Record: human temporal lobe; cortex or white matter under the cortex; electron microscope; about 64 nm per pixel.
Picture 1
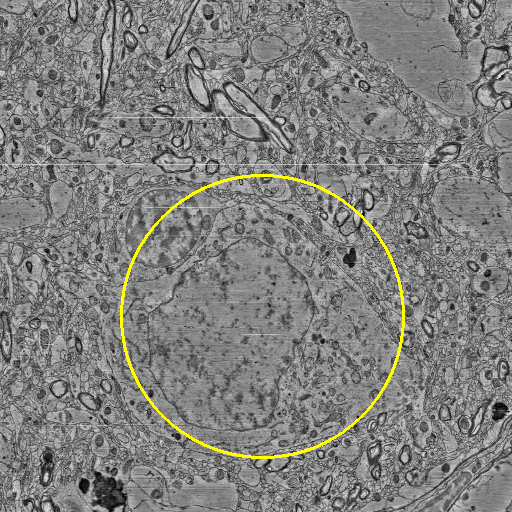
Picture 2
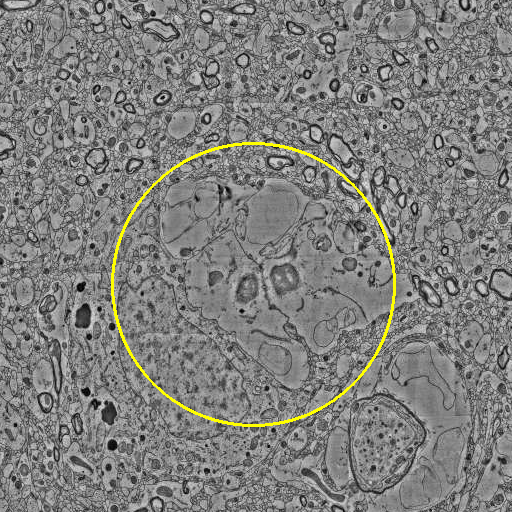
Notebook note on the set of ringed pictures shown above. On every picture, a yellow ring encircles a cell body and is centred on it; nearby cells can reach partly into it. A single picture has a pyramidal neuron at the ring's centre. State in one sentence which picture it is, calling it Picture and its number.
Picture 1 is the one whose ring is centred on the sought cell.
